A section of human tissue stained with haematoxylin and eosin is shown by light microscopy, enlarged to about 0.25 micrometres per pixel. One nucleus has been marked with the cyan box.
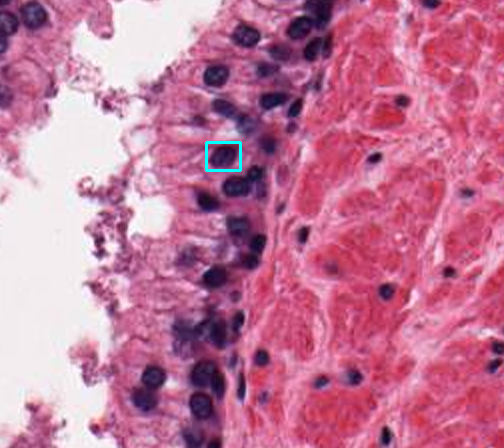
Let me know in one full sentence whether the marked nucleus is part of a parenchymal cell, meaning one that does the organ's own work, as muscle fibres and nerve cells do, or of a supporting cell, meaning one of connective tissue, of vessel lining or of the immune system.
In the tissue shown, the marked nucleus is that of a prostate gland luminal cell, a parenchymal cell.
